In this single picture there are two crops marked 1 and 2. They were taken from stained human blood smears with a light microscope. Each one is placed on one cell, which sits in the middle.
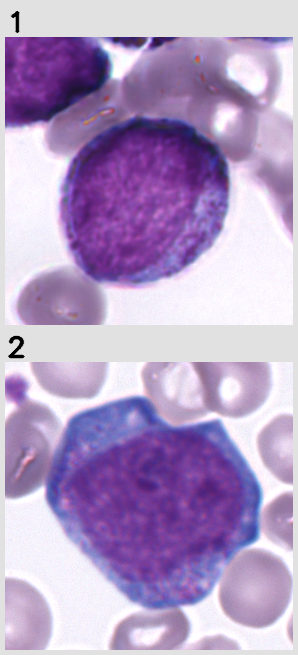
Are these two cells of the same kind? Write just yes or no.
yes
